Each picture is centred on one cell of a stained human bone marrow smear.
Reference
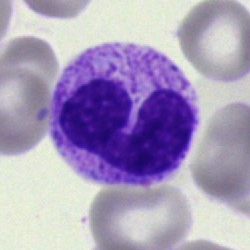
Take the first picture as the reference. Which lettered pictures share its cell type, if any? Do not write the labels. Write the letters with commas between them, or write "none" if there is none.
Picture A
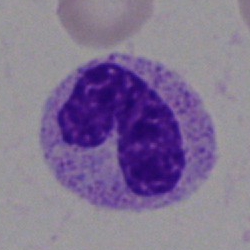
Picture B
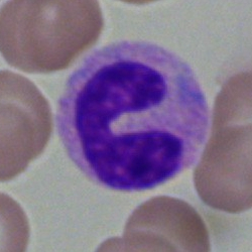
A, B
